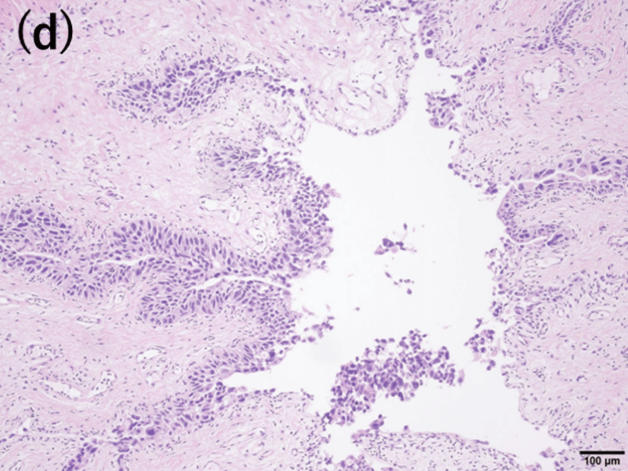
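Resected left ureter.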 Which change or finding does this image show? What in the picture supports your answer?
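Carcinoma in situ. The lining epithelium has crowded cells with enlarged, dark, irregular nuclei. Atypical cells are shed into the lumen. The stroma beneath the epithelium is not invaded by cell nests.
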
